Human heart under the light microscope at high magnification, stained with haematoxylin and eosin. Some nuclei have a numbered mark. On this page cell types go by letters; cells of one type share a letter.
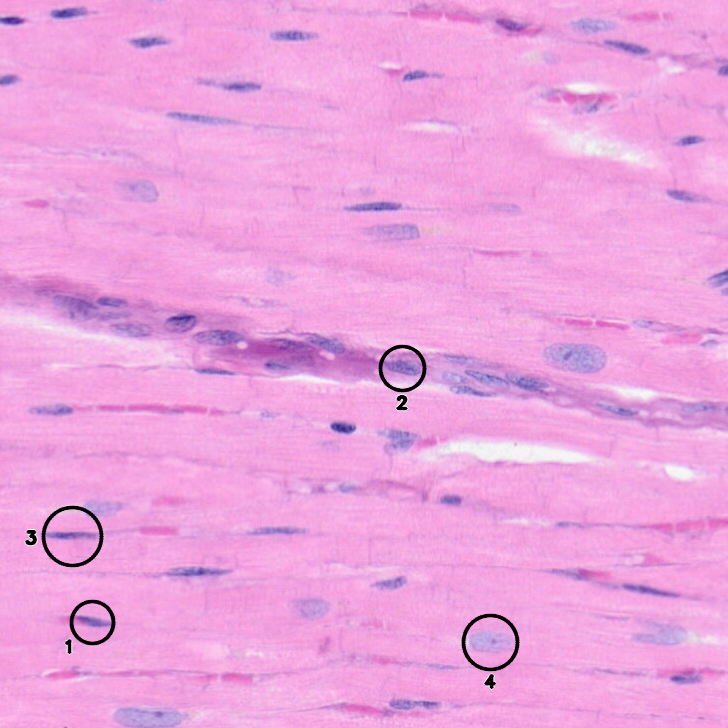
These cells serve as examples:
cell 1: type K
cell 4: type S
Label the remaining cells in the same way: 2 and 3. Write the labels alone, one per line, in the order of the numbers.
type K
type K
